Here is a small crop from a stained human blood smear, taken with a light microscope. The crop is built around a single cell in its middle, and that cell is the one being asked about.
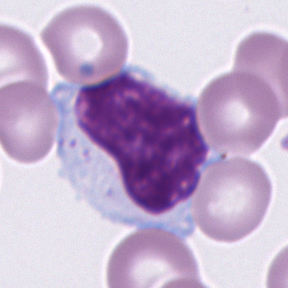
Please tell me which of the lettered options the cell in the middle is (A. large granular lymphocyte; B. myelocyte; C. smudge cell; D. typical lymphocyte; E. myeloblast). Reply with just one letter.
A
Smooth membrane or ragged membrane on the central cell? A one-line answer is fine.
This cell has an uneven outline, either ragged or bearing projections.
